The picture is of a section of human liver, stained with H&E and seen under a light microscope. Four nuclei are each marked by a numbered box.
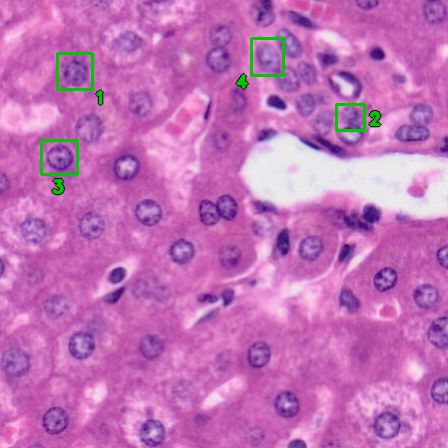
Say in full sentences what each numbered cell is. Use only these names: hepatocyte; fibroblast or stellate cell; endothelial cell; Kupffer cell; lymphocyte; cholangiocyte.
Cells 1 and 3 are hepatocytes. Cells 2 and 4 are cholangiocytes.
